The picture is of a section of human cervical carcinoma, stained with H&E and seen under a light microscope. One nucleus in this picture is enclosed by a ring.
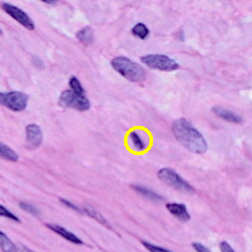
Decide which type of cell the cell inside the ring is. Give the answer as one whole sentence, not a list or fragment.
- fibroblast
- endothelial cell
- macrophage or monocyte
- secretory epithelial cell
The correct response here is that the cell inside the ring is a fibroblast.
